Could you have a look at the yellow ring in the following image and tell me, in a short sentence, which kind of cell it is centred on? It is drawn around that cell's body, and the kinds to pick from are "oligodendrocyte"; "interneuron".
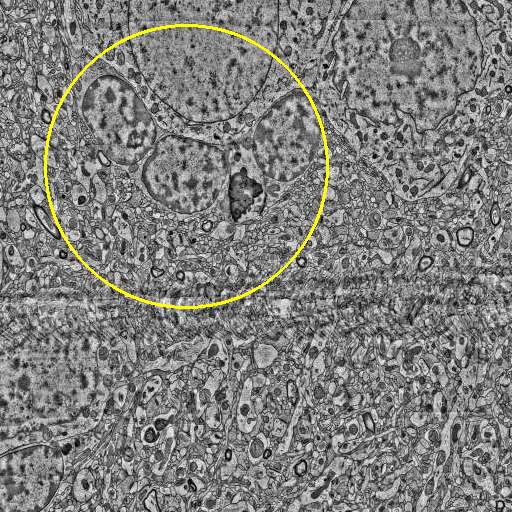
The ring is centred on the body of an oligodendrocyte.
